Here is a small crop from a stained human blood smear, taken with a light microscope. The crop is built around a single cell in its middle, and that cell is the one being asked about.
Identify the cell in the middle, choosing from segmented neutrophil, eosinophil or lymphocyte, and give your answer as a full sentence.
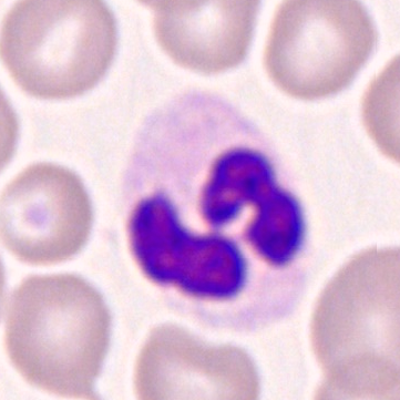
The identification for the central cell is a segmented neutrophil.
